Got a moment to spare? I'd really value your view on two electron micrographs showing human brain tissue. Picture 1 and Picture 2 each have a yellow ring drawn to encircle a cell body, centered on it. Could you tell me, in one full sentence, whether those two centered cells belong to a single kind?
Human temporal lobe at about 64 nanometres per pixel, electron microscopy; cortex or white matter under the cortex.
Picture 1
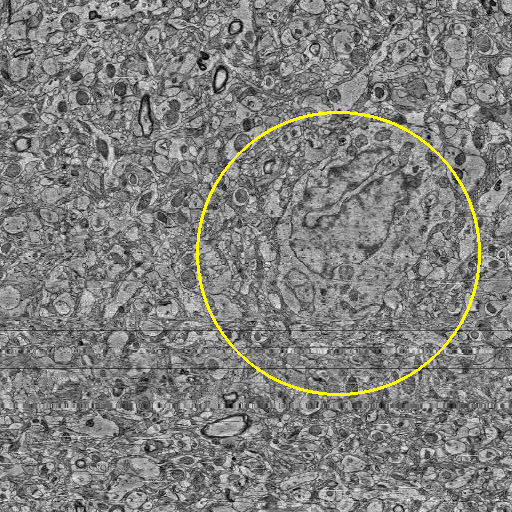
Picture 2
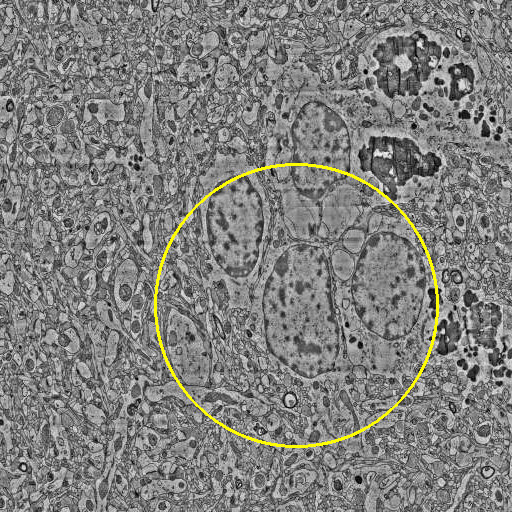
No, the two centered cells in Picture 1 and Picture 2 are of two kinds.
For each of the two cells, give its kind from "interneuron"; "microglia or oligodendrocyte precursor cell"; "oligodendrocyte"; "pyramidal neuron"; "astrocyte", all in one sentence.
The first picture has an interneuron in its ring, the second has an astrocyte.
